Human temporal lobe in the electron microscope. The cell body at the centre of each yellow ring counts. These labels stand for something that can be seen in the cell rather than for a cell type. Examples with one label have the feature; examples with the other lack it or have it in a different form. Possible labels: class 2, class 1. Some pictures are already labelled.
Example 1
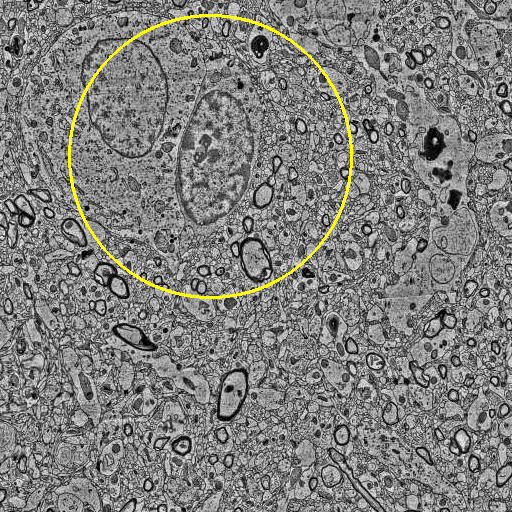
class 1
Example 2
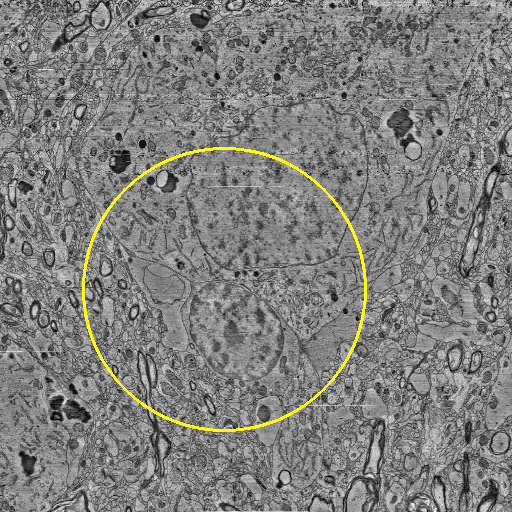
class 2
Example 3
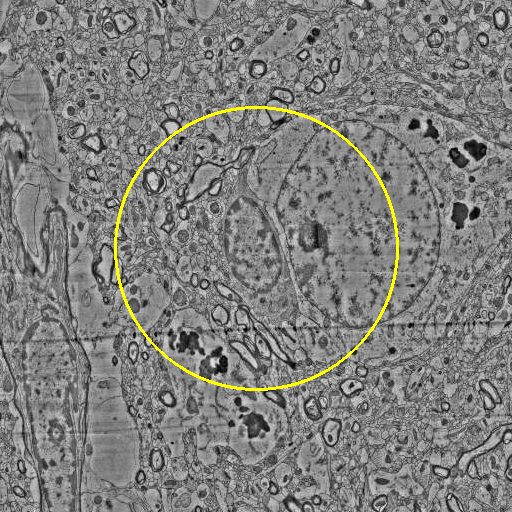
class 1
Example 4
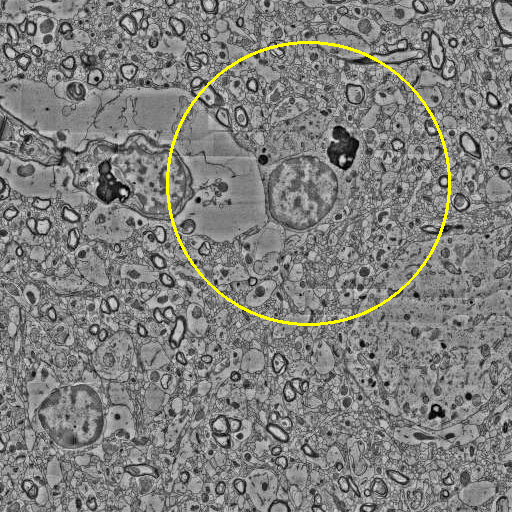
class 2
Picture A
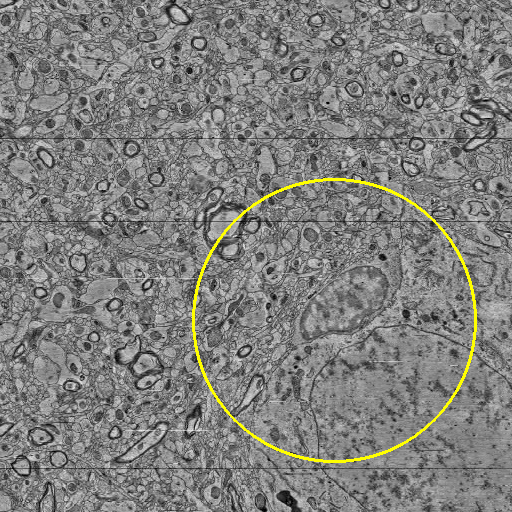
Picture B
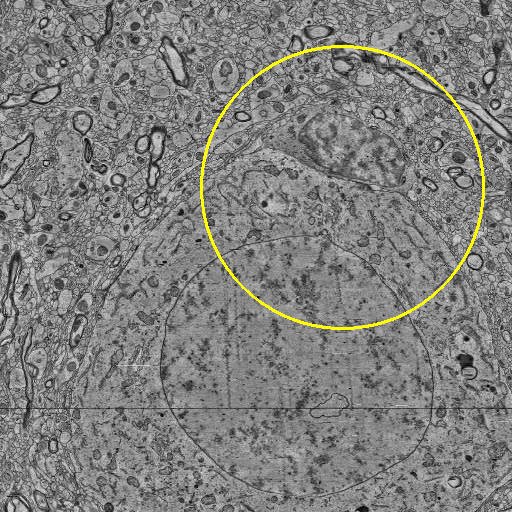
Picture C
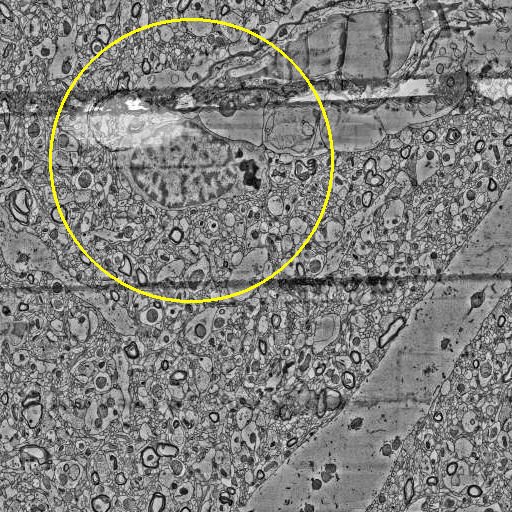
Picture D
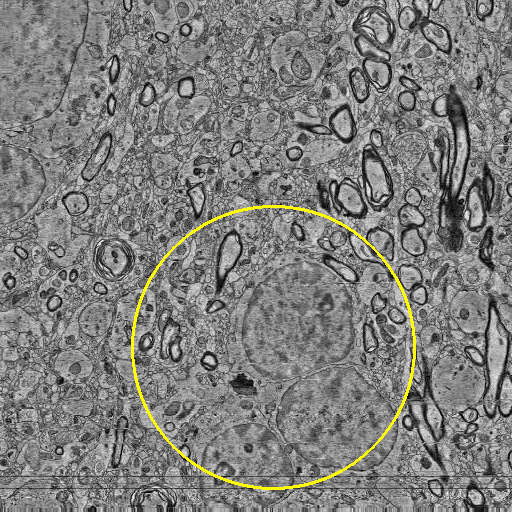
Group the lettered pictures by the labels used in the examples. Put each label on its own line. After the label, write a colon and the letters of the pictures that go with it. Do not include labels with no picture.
class 2: D
class 1: A, B, C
